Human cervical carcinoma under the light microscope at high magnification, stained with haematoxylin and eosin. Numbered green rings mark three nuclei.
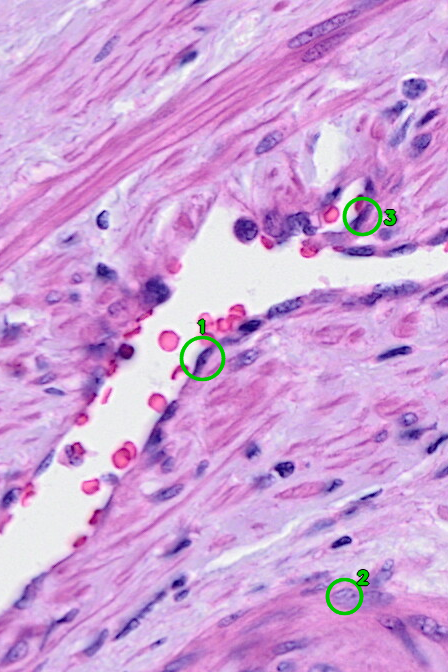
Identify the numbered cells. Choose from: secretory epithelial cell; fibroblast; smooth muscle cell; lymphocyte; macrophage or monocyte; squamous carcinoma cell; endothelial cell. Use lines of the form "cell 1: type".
cell 1: endothelial cell
cell 2: smooth muscle cell
cell 3: endothelial cell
